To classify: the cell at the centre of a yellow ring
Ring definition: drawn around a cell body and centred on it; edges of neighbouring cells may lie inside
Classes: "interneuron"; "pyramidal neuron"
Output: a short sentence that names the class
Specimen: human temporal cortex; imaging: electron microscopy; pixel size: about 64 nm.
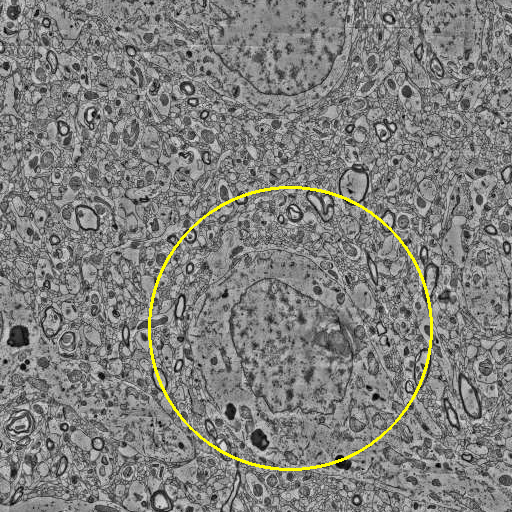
The ringed cell is a pyramidal neuron.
